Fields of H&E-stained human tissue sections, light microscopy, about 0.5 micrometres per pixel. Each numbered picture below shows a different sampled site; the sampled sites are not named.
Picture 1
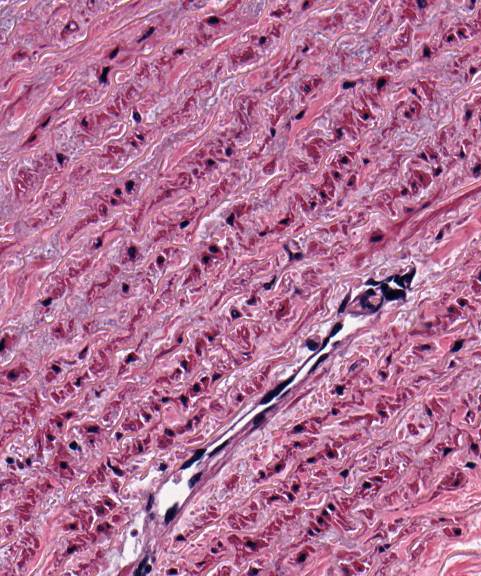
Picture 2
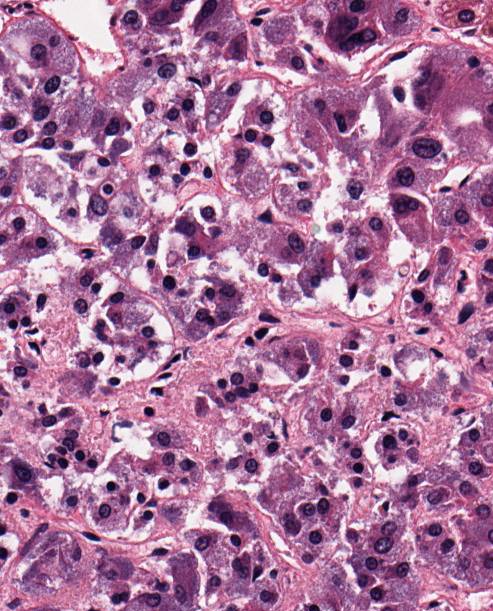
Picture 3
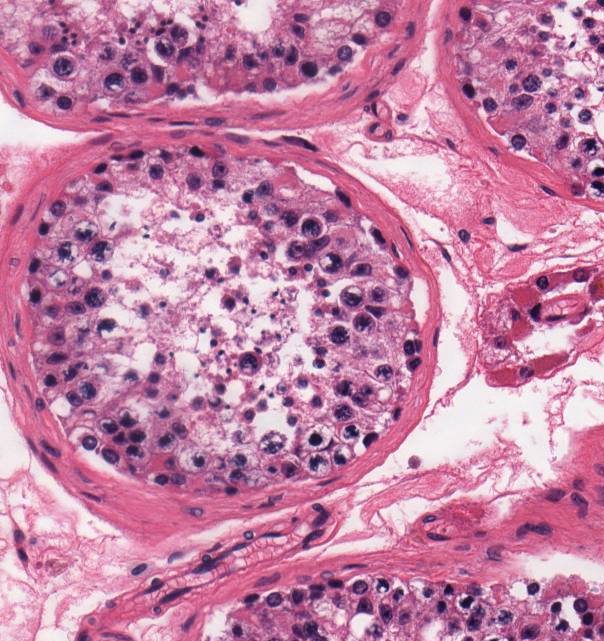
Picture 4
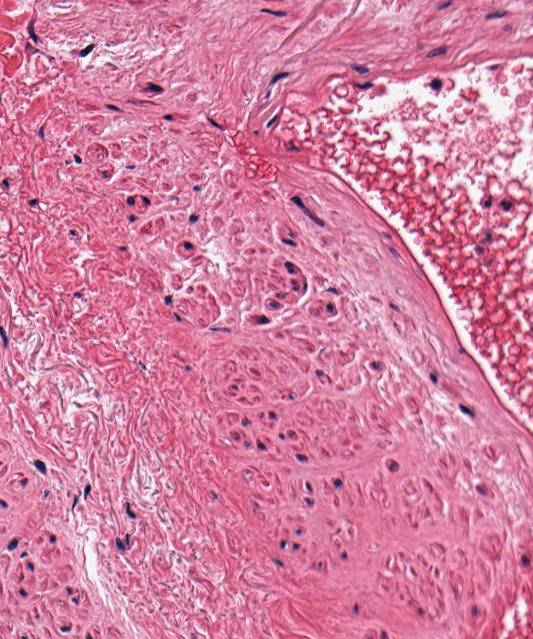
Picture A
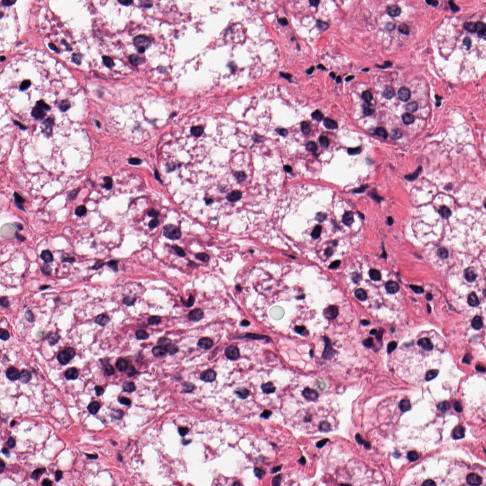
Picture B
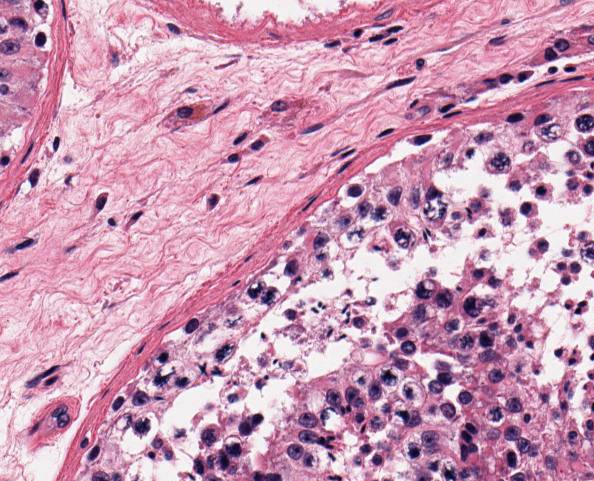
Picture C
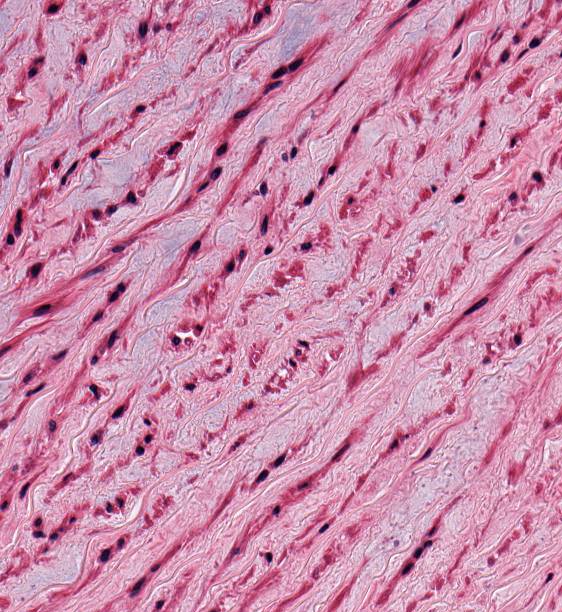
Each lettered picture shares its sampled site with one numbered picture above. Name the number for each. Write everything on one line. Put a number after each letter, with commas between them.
A 2, B 3, C 1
